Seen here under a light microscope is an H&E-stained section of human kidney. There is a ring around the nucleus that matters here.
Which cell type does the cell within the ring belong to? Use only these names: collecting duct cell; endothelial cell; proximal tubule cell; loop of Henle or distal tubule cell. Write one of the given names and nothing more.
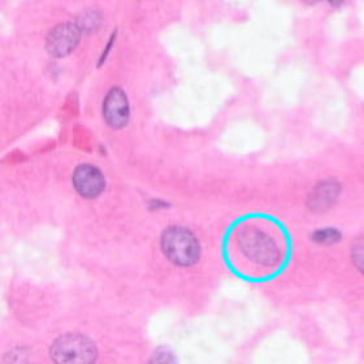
proximal tubule cell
